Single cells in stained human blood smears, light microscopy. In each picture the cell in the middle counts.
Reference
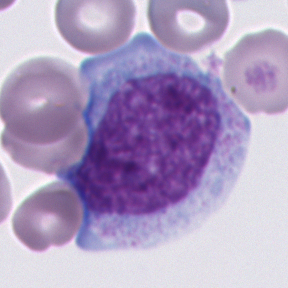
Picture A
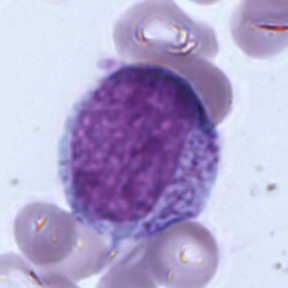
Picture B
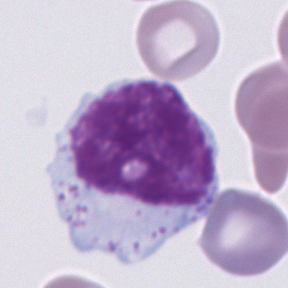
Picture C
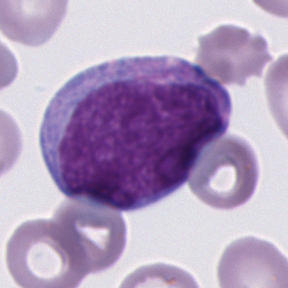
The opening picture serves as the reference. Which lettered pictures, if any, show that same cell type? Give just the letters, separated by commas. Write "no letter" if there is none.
A, C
